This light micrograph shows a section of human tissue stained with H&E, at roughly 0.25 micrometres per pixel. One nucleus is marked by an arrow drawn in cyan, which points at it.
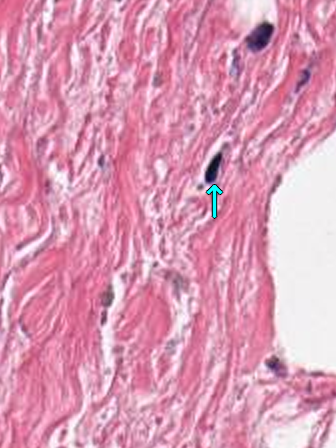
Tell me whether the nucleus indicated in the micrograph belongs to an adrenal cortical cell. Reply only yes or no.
no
